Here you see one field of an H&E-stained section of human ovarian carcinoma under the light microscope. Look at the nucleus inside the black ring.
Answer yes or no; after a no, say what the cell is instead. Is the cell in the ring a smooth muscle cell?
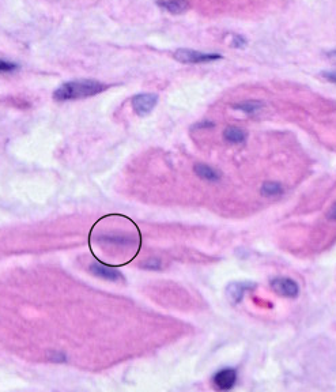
Yes.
